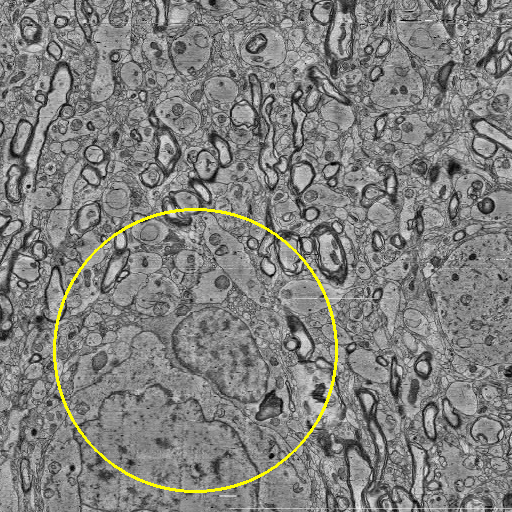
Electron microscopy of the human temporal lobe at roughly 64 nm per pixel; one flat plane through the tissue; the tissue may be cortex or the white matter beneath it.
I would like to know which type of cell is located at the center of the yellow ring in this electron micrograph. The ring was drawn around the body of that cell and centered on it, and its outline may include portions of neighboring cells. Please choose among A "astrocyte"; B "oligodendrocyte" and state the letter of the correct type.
B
